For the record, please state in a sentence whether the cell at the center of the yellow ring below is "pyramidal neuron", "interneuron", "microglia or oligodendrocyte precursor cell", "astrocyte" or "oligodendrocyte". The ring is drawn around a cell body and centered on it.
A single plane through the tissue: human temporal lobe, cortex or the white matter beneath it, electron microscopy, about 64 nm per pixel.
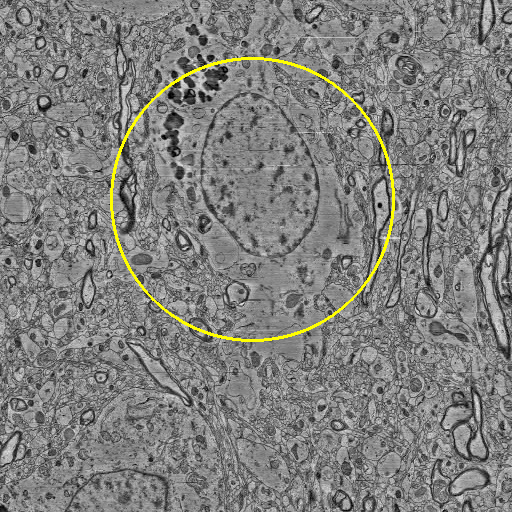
The cell at the ring's center is an astrocyte.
